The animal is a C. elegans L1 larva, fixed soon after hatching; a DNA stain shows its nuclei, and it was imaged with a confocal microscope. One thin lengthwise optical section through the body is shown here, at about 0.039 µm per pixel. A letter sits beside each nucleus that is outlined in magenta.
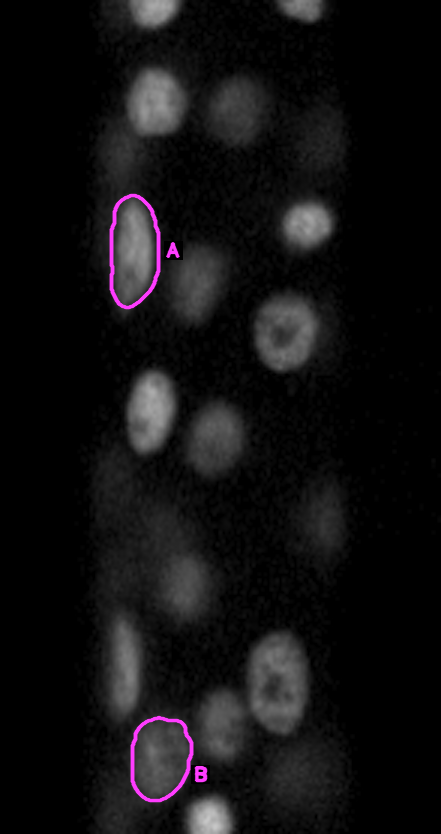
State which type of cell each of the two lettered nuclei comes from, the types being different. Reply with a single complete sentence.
The nucleus A is that of a body wall muscle cell, while B is that of an intestinal cell.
